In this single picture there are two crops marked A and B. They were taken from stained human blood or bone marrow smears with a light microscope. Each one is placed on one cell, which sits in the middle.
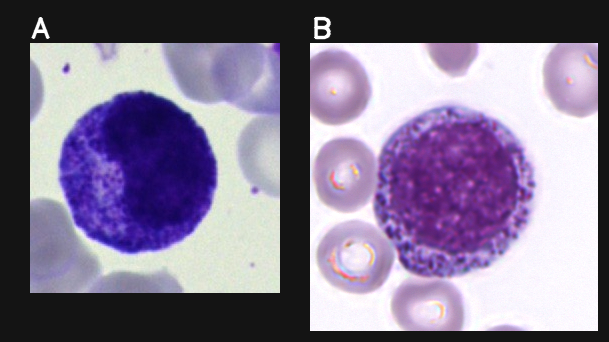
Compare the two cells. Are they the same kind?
no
